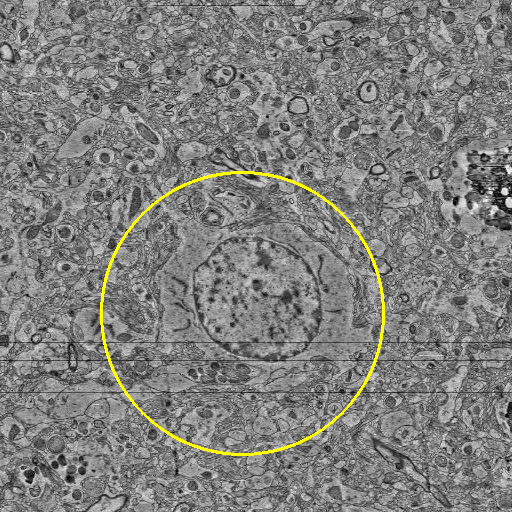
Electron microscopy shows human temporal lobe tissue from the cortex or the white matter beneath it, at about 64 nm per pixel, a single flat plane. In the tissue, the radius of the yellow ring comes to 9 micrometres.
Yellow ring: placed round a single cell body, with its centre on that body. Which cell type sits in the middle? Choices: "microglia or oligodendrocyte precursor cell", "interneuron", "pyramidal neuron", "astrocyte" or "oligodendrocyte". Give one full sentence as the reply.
It is an astrocyte whose cell body sits at the centre of the yellow ring.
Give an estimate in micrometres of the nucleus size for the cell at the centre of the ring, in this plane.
The nucleus appears about 8 micrometres across in this plane.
